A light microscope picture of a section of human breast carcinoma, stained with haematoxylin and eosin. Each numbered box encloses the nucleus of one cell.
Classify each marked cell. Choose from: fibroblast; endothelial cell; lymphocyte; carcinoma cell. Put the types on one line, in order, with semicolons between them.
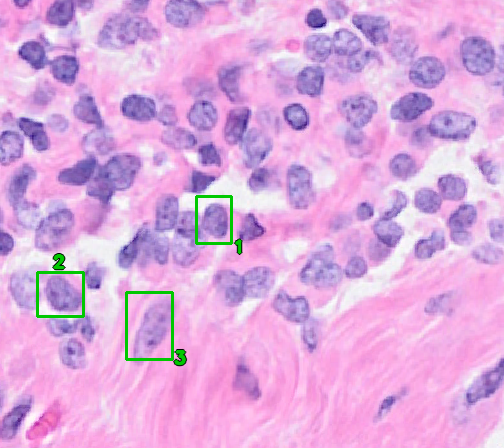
carcinoma cell; carcinoma cell; fibroblast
